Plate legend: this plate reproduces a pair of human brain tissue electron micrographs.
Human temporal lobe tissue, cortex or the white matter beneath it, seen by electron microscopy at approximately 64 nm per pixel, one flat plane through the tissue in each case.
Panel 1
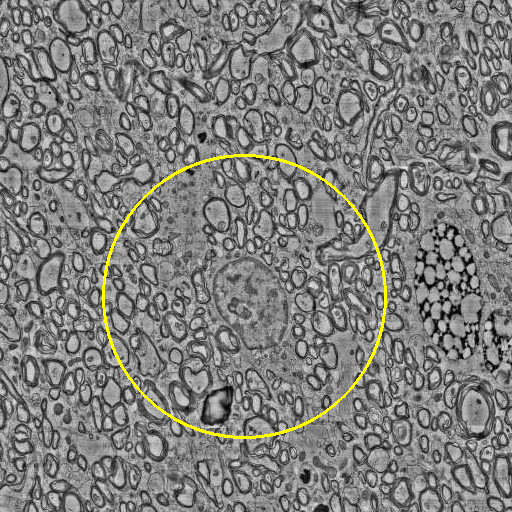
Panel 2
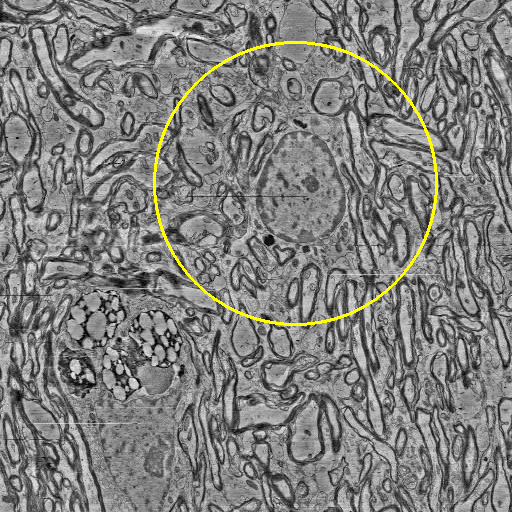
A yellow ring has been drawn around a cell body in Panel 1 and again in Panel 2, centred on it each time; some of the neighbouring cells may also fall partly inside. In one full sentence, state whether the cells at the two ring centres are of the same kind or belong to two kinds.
The ring-centred cells of Panel 1 and Panel 2 belong to two kinds.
